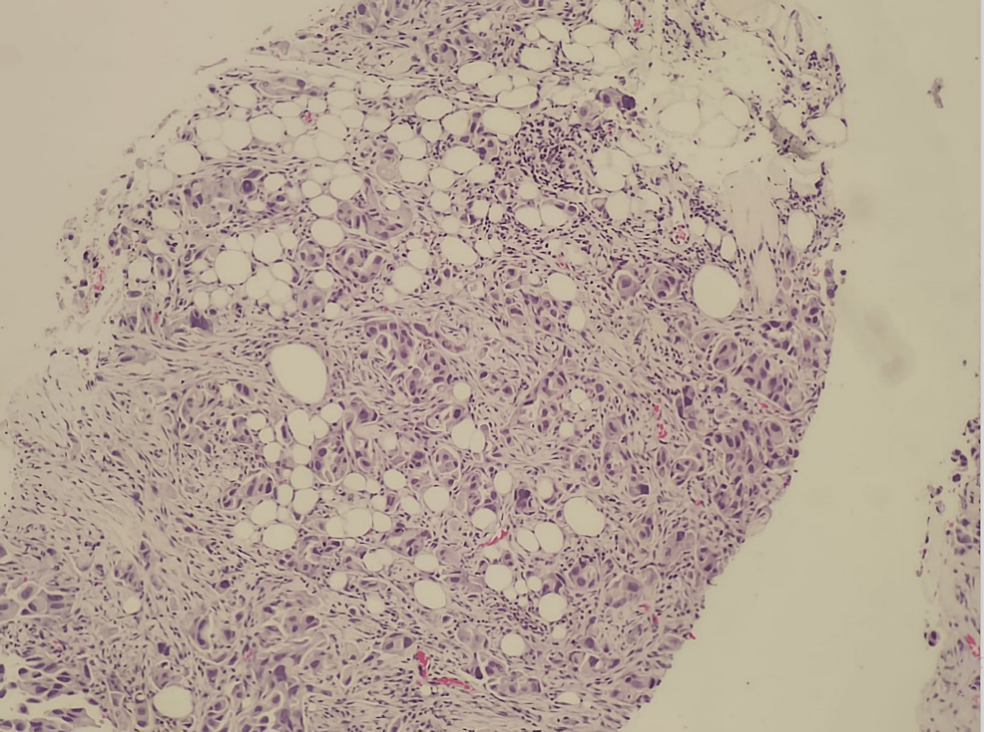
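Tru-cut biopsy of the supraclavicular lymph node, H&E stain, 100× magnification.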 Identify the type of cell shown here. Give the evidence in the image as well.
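Tumor cells. Large cells with big, oval, darkly stained nuclei and ample pale pink cytoplasm. These cells are much larger than the scattered small dark round cells. They form clusters within fibrous stroma and among fat spaces.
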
